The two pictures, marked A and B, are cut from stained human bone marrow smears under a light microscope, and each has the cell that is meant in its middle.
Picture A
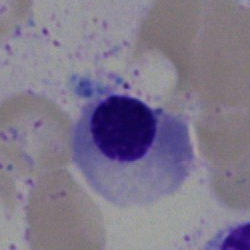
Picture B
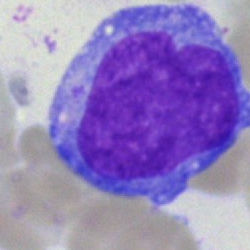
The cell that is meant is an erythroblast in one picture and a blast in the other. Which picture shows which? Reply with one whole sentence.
It is picture A that shows an erythroblast, and picture B that shows a blast.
